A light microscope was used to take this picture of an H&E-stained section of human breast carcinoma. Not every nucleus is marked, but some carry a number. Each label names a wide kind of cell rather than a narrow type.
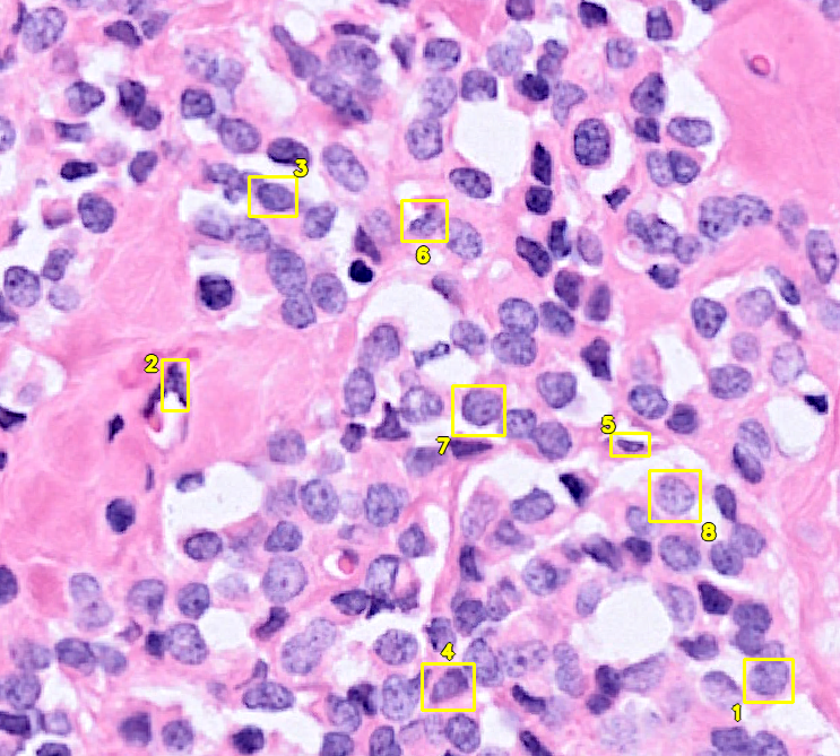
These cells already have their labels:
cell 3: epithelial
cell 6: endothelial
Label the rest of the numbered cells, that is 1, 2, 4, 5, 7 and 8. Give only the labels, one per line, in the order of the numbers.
epithelial
endothelial
epithelial
endothelial
epithelial
epithelial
